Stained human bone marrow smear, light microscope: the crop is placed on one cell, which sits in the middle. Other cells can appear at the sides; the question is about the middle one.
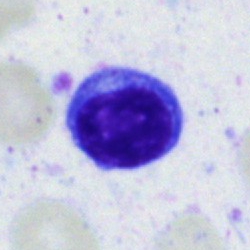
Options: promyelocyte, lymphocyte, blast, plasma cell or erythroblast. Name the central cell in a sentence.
As for the cell in the middle, it is a lymphocyte.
